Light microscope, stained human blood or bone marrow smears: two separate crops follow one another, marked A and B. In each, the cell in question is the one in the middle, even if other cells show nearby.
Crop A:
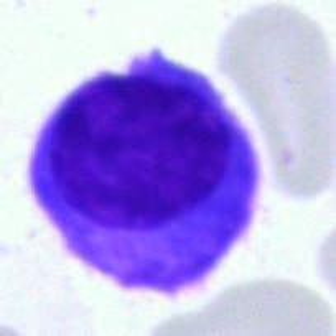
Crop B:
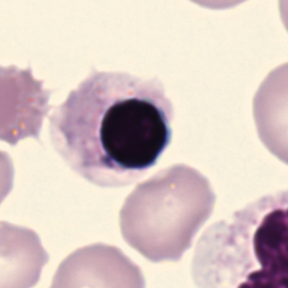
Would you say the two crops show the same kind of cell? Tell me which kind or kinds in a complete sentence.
No, crop A contains a plasma cell, whereas crop B contains a normoblast.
